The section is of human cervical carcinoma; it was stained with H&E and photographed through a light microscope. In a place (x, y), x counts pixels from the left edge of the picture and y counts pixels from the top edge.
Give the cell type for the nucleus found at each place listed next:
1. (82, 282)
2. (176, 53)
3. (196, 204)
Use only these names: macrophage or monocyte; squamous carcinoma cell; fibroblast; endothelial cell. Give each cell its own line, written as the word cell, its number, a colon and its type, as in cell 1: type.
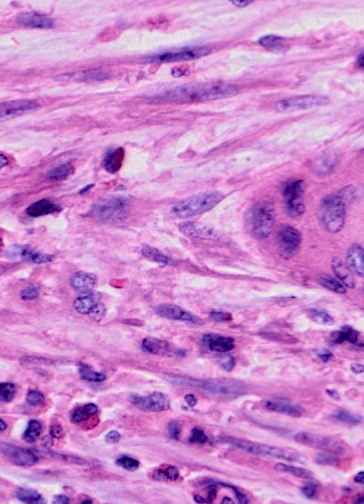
cell 1: endothelial cell
cell 2: fibroblast
cell 3: fibroblast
